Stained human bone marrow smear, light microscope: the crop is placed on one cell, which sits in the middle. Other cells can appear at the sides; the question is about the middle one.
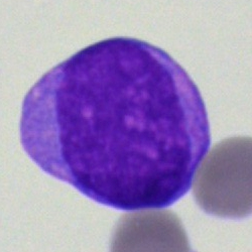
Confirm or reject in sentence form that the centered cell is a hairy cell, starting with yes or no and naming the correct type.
No, the middle of this crop is occupied by a blast rather than a hairy cell.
